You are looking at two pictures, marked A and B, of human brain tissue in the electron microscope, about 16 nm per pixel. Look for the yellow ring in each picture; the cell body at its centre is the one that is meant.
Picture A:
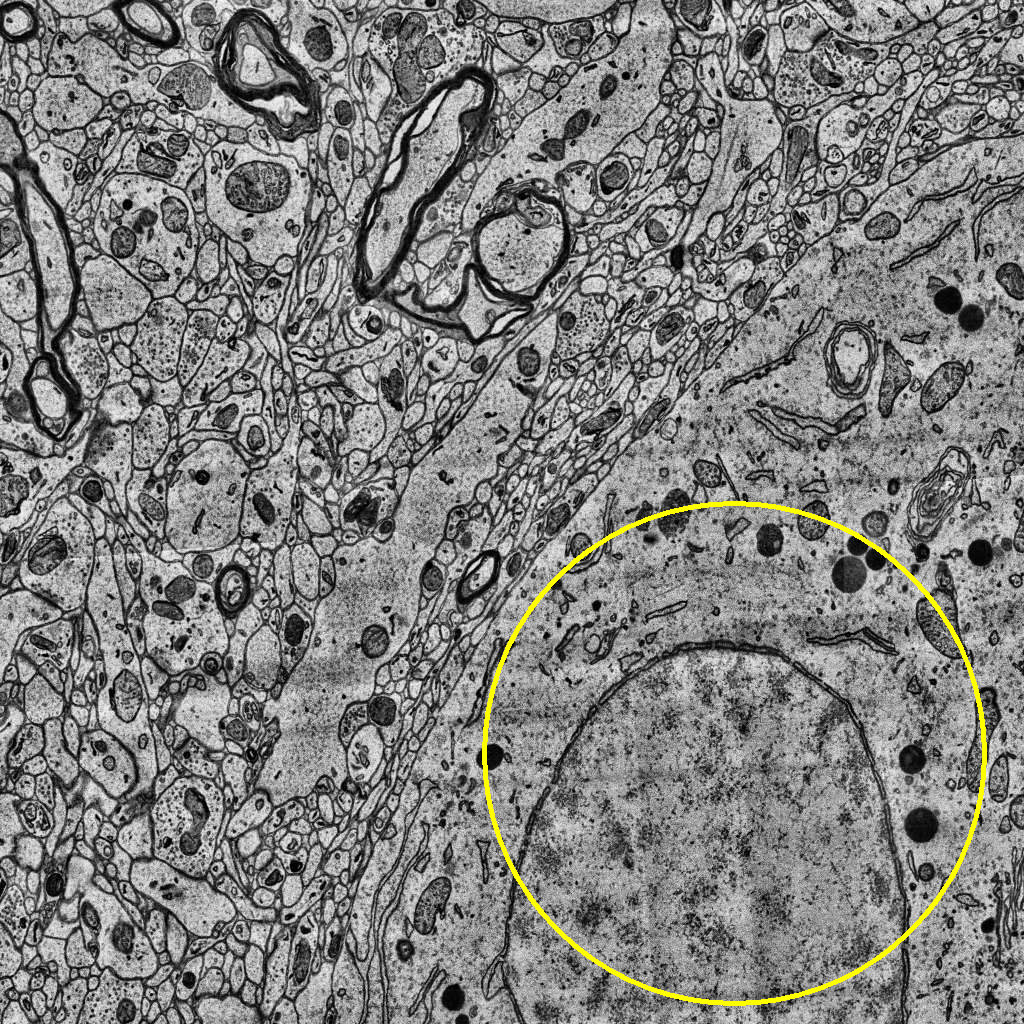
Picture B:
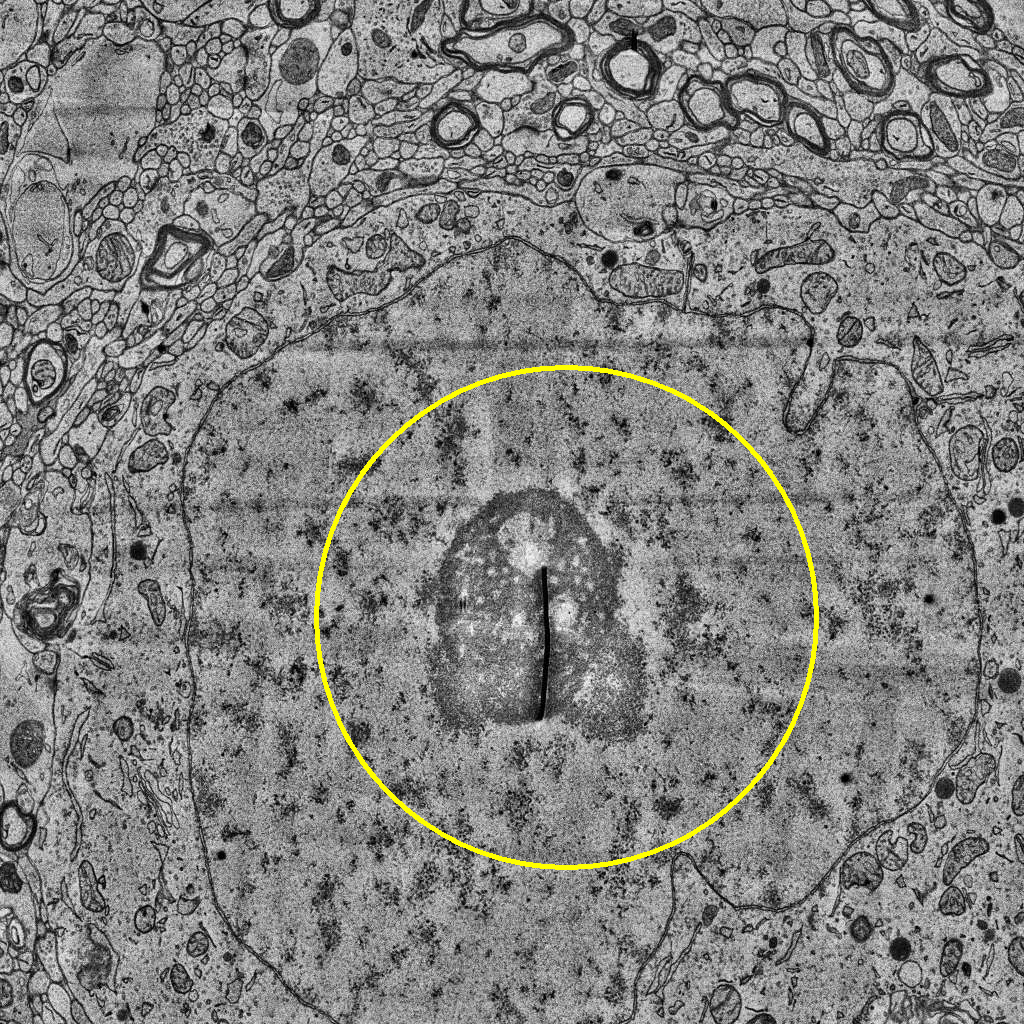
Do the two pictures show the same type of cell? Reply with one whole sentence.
Yes, the two pictures both show pyramidal neurons.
